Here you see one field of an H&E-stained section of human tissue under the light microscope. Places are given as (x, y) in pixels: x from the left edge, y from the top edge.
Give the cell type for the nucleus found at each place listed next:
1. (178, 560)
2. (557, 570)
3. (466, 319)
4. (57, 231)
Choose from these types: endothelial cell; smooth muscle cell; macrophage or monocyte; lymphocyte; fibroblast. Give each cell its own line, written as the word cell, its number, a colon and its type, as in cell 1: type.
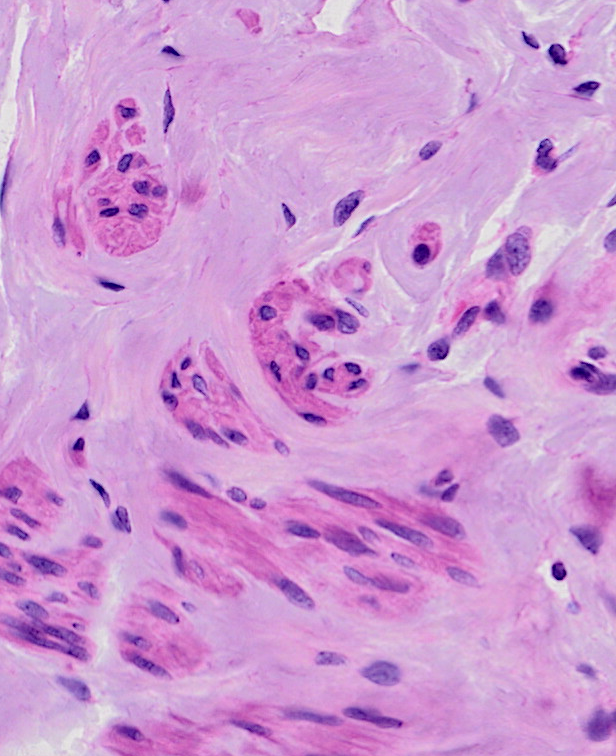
cell 1: smooth muscle cell
cell 2: lymphocyte
cell 3: endothelial cell
cell 4: smooth muscle cell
